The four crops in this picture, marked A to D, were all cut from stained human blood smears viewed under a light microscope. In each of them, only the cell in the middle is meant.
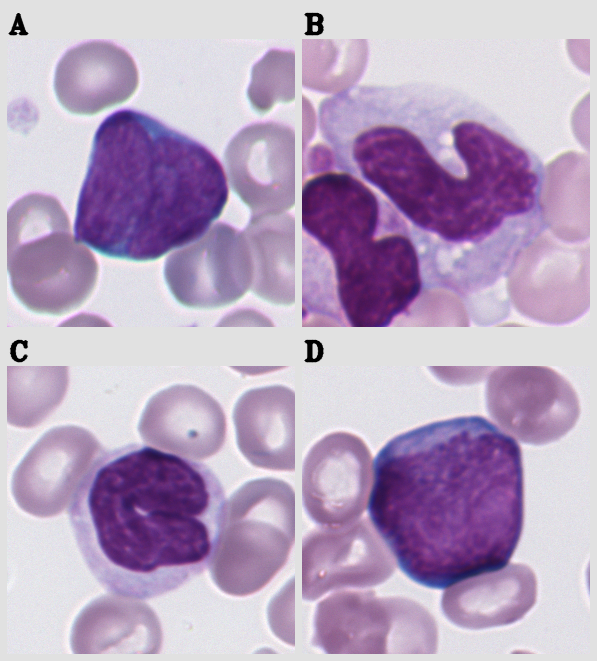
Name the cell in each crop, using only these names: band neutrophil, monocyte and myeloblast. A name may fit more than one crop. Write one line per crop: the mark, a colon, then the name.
A: myeloblast
B: monocyte
C: band neutrophil
D: myeloblast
